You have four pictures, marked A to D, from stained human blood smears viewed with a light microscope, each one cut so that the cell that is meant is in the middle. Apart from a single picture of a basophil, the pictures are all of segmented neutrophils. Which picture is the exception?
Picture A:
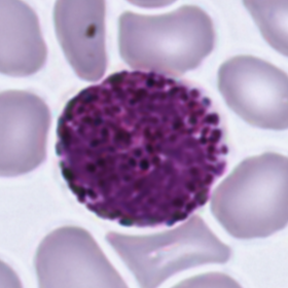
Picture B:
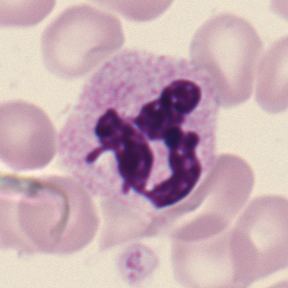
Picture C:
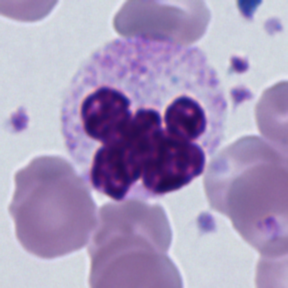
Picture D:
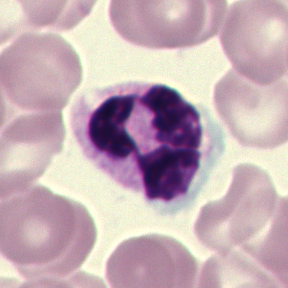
A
